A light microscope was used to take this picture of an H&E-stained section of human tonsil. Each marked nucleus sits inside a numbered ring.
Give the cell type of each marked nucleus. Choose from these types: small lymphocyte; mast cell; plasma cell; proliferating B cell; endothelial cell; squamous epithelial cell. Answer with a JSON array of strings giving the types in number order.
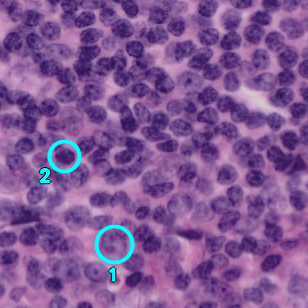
["proliferating B cell", "small lymphocyte"]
